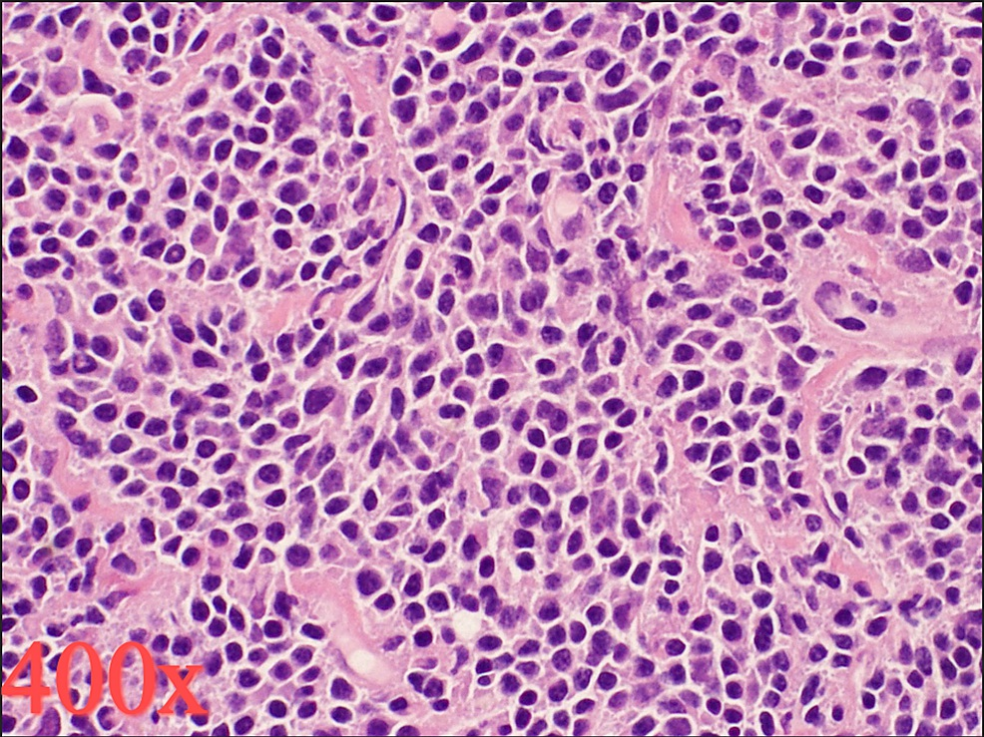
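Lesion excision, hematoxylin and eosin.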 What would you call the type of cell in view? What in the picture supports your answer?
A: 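Many cells have round, dark nuclei set off to one side of the cell. These cells have a moderate rim of purple-pink cytoplasm.
Conclusion: plasma cells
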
